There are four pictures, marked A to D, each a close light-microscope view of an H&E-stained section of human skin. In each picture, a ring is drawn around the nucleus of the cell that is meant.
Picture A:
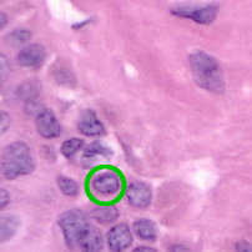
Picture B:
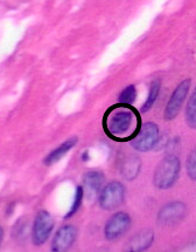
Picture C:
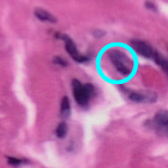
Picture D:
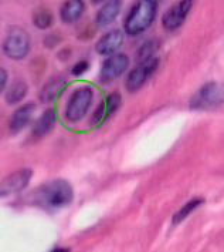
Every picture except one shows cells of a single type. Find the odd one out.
C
